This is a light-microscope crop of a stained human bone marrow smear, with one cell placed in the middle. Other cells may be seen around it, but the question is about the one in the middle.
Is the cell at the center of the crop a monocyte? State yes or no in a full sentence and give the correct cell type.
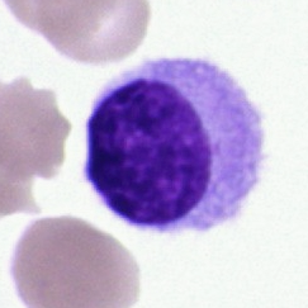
No, rather than a monocyte, the central cell is a hairy cell.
